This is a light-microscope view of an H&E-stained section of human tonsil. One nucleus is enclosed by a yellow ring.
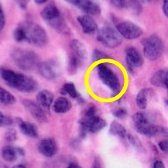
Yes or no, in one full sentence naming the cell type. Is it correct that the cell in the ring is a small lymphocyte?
No, score the cell in the ring as a proliferating B cell; it is not a small lymphocyte.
